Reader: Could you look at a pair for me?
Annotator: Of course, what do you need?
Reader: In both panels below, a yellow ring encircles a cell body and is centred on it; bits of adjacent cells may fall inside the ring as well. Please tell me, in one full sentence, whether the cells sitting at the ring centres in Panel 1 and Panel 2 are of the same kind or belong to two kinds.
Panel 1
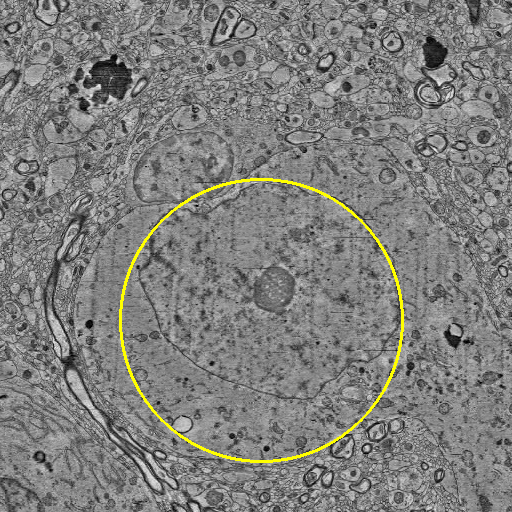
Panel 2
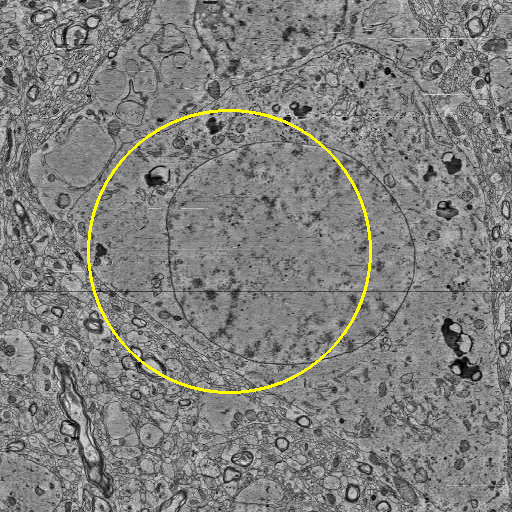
The cell at the ring's centre in Panel 1 and the one in Panel 2 are of the same kind.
